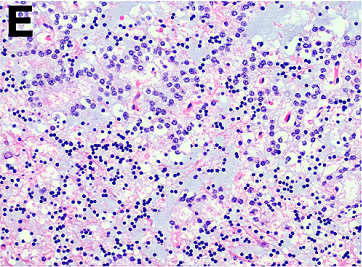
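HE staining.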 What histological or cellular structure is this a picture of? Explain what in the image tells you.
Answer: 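Small round nuclei lie scattered singly within the pale material.
Hence: mucoid matrix.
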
